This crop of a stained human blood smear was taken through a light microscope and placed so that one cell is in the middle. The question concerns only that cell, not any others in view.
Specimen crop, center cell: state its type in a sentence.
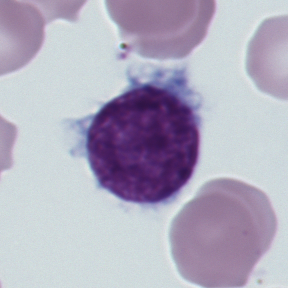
For this crop, the central cell is a hairy cell.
